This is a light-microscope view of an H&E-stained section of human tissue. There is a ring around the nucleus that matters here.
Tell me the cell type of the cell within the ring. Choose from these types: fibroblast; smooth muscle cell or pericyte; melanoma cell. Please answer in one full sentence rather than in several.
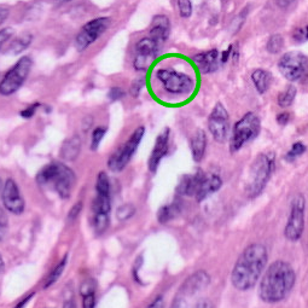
Right, so the cell within the ring is a melanoma cell, to answer that.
